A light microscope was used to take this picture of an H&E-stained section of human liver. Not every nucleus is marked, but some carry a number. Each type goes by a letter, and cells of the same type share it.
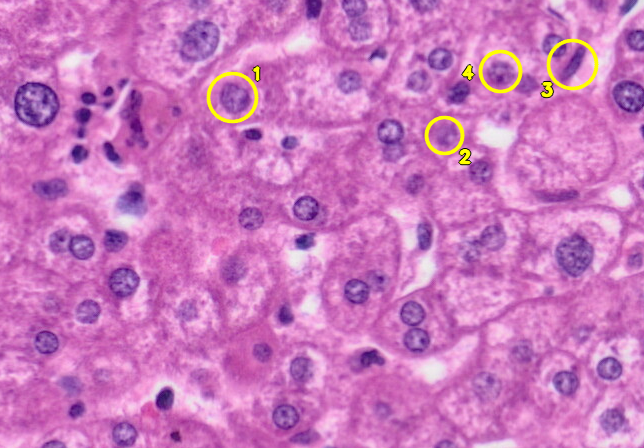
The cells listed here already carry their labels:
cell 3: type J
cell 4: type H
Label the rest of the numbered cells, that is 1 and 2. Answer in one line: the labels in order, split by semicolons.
type H; type H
